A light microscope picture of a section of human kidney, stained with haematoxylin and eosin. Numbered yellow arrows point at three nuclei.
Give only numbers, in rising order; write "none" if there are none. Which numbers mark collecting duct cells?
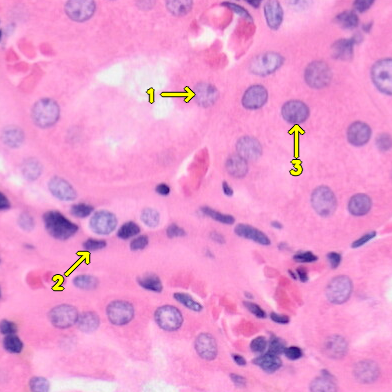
2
